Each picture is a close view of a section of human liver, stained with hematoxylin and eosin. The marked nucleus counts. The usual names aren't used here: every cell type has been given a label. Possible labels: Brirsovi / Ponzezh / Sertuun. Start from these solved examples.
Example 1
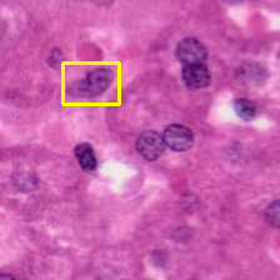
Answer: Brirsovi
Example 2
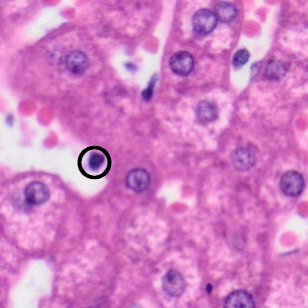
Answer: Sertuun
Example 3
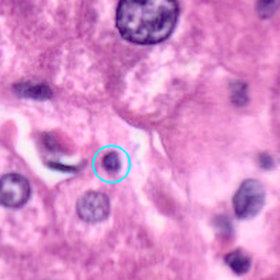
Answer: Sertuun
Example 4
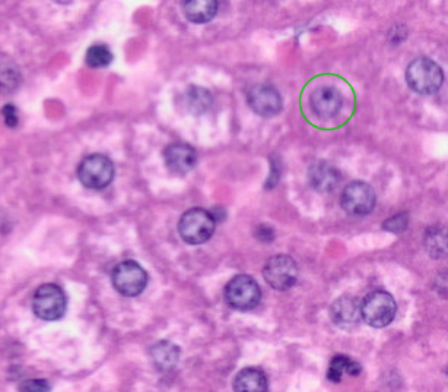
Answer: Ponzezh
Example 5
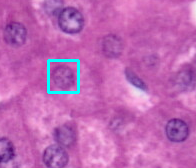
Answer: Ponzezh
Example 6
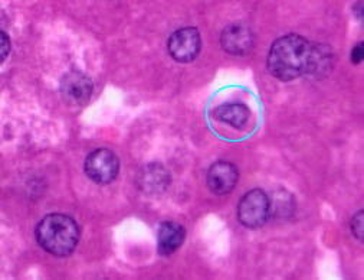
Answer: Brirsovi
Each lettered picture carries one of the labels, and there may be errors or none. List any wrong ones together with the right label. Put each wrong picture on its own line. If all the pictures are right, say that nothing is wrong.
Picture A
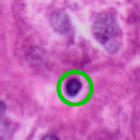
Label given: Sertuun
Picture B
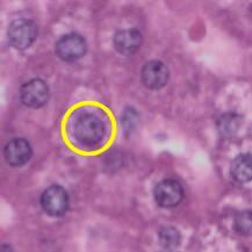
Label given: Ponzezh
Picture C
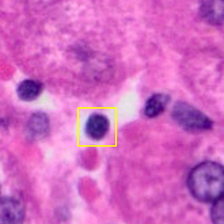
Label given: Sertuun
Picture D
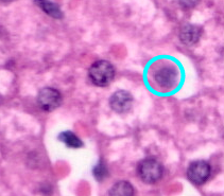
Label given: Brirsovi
All correct.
